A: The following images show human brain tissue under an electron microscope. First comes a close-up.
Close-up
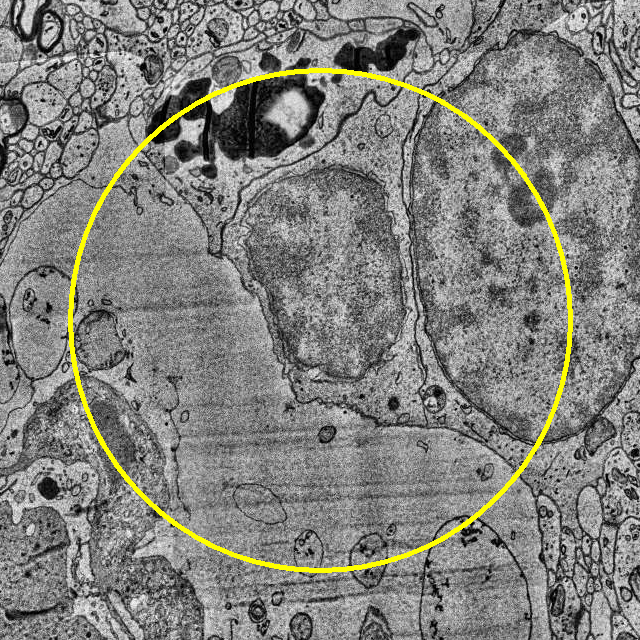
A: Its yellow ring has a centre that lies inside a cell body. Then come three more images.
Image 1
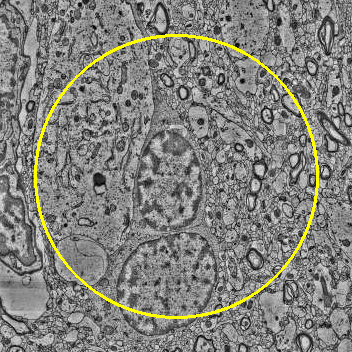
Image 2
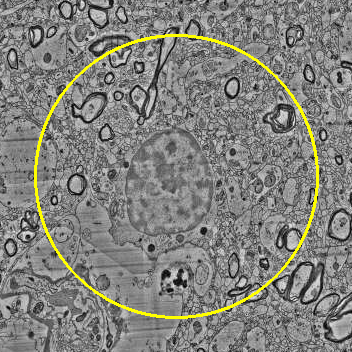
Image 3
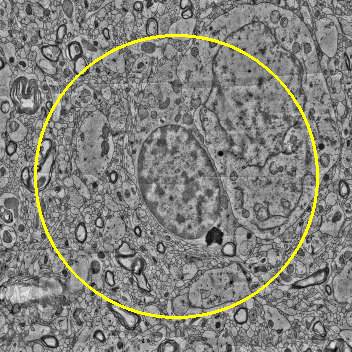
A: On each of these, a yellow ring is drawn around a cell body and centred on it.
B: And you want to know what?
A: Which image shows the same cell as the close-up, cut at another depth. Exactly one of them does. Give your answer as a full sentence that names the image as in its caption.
Among the marked cells, the one enlarged in the close-up sits in Image 2.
